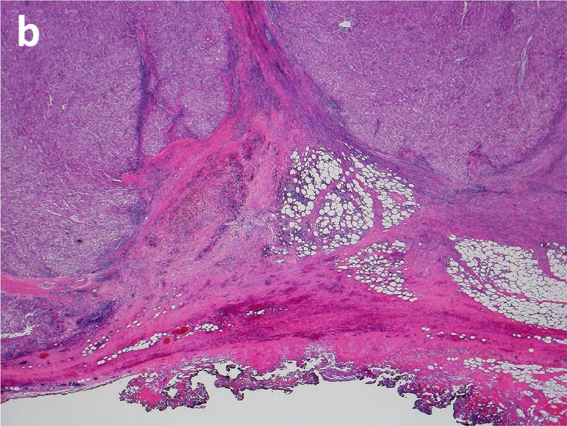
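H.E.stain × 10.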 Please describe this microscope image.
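At low magnification, densely cellular purple tumor tissue occupies the upper part. Below it lies a band of dense pink fibrous tissue. Lobules of adipose tissue, seen as clusters of empty polygonal spaces, lie next to and beneath this band.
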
